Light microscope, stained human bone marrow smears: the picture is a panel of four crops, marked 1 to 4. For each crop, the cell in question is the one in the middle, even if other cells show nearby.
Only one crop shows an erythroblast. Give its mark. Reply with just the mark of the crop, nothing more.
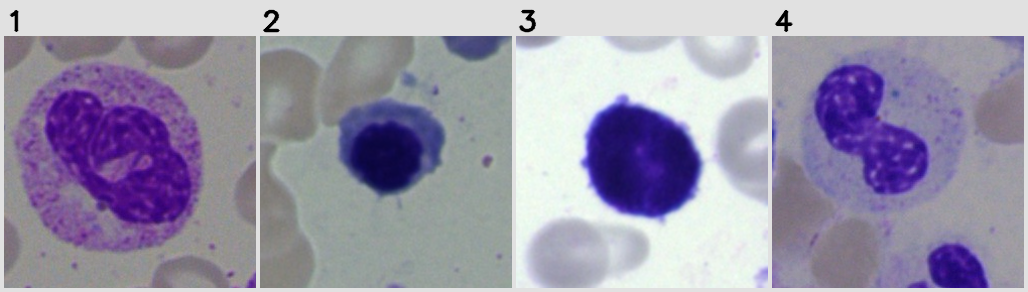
2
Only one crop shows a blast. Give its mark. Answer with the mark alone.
3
